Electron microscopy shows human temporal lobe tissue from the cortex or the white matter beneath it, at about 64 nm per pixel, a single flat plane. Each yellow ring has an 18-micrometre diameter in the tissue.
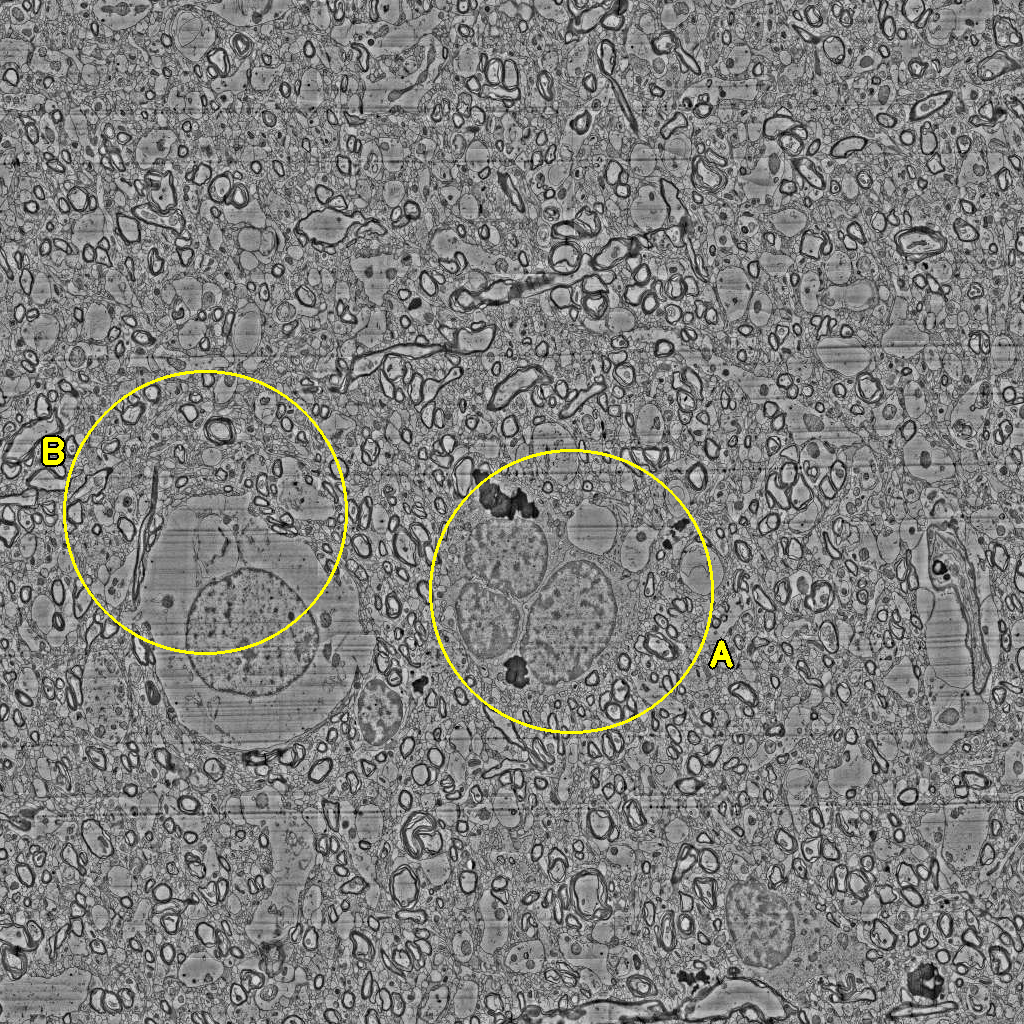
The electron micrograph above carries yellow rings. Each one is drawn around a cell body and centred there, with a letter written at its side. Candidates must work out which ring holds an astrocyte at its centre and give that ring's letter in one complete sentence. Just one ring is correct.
Letter B marks the ring whose centre holds that kind of cell.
